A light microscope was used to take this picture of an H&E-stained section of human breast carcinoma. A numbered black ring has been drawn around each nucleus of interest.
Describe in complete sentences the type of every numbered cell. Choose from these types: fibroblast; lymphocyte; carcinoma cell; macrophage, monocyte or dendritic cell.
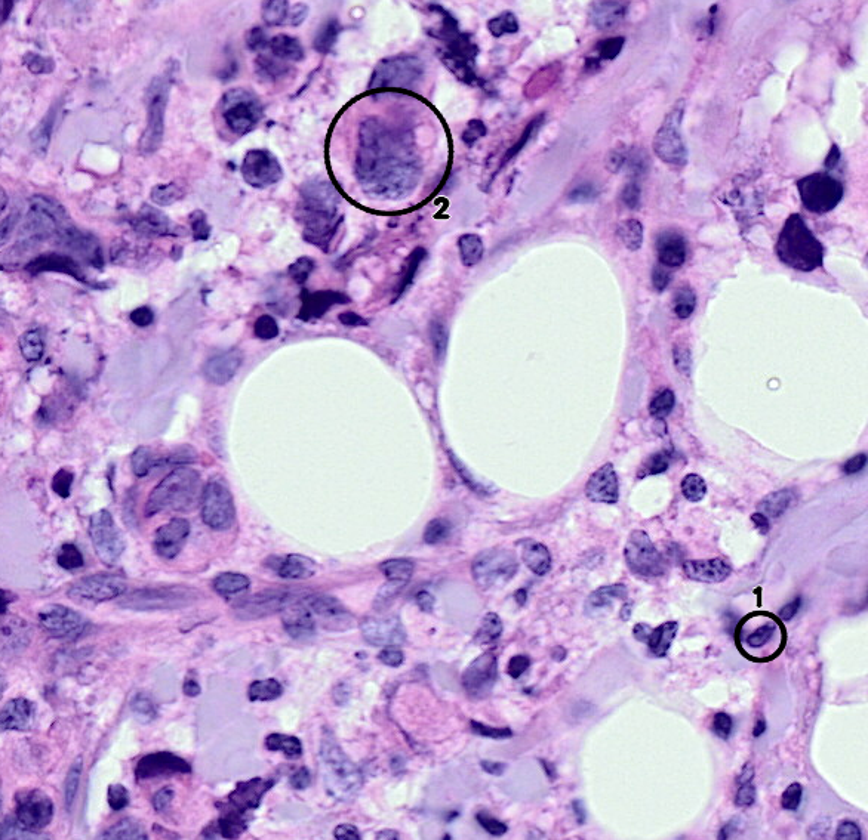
Cell 1 is a lymphocyte. Cell 2 is a carcinoma cell.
